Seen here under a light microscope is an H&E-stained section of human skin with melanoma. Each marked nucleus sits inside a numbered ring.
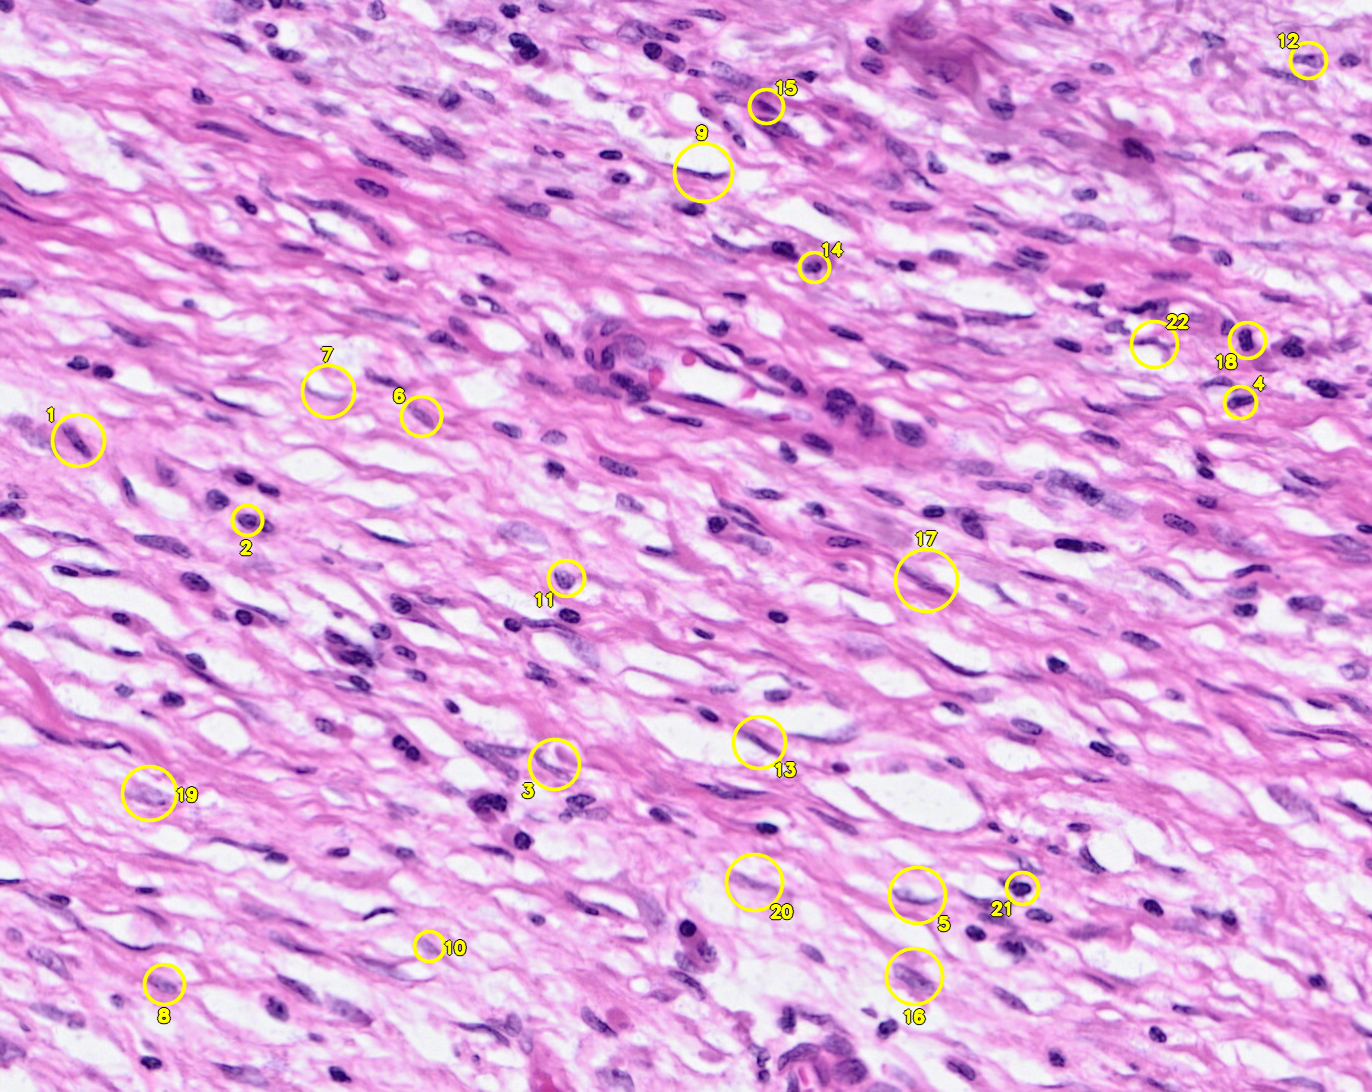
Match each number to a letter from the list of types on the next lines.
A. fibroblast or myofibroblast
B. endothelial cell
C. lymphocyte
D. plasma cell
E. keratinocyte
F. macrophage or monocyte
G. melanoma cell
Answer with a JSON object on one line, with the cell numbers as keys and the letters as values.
{"1": "F", "2": "D", "3": "A", "4": "C", "5": "A", "6": "F", "7": "A", "8": "F", "9": "A", "10": "A", "11": "C", "12": "A", "13": "A", "14": "D", "15": "B", "16": "A", "17": "A", "18": "D", "19": "A", "20": "A", "21": "C", "22": "A"}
